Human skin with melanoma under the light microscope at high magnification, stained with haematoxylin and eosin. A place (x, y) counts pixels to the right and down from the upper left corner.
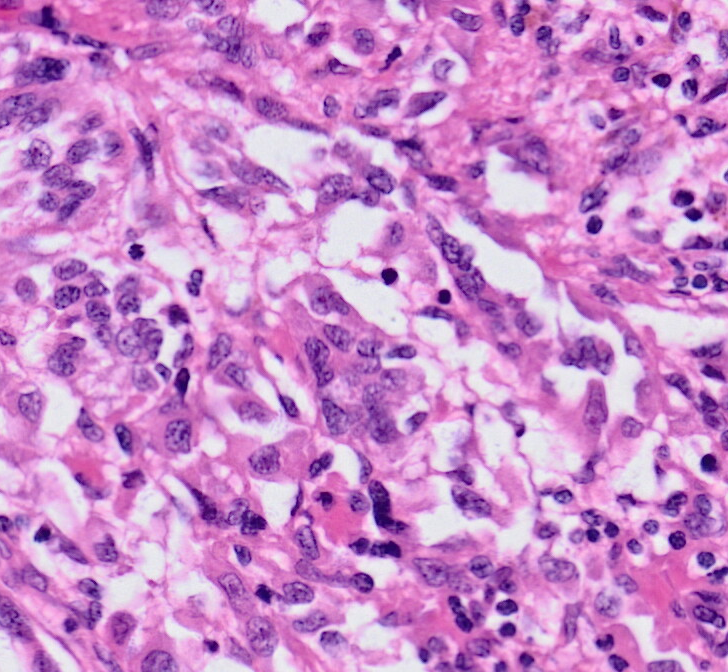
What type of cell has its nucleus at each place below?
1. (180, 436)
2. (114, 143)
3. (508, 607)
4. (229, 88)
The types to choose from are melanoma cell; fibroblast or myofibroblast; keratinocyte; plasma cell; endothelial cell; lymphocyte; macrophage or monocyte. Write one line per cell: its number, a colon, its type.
1: melanoma cell
2: melanoma cell
3: lymphocyte
4: melanoma cell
